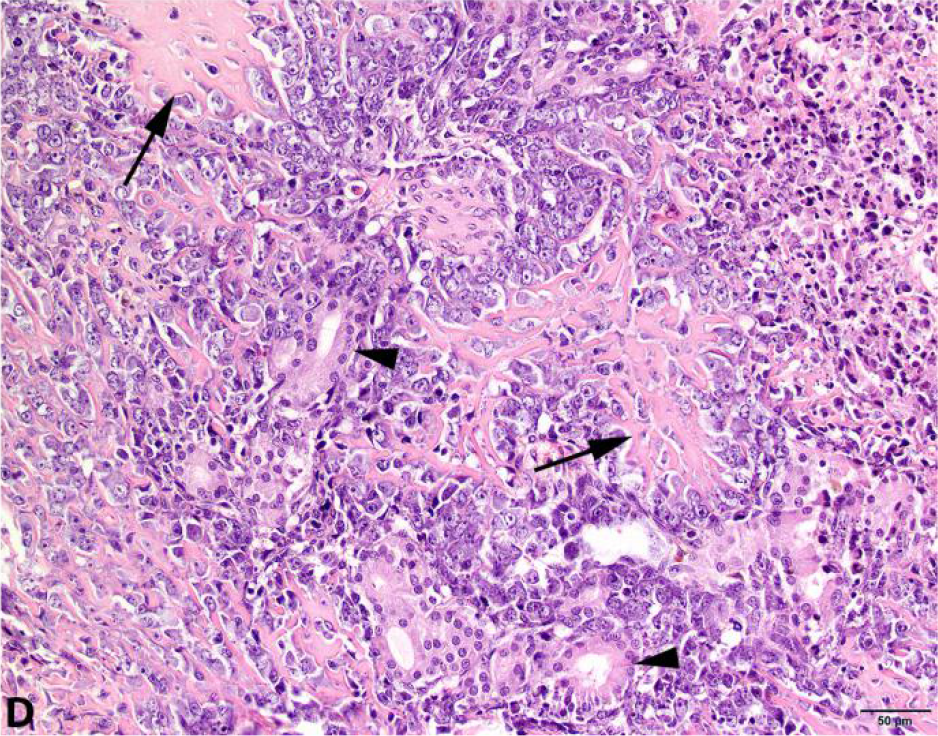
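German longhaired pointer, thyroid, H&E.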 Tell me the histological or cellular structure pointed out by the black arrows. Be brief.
Osteoid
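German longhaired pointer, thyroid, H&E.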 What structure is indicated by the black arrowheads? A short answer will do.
Neoplastic follicular structures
